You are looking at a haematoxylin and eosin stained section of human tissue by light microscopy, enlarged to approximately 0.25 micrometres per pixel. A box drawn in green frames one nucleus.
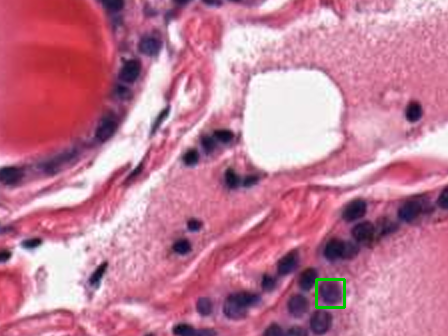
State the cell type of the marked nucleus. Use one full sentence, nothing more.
The marked nucleus is found in a thyroid follicular cell.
